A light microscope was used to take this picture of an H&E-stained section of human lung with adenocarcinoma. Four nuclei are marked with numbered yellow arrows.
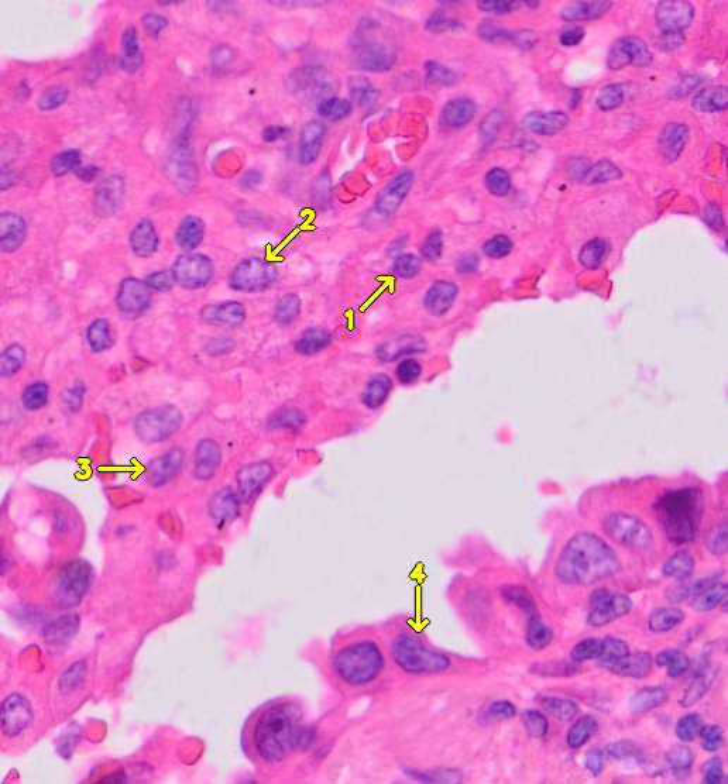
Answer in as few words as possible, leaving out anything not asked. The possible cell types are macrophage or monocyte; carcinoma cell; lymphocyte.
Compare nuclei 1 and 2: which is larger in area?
2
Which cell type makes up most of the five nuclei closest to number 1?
macrophage or monocyte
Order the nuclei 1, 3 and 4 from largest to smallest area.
4, 3, 1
